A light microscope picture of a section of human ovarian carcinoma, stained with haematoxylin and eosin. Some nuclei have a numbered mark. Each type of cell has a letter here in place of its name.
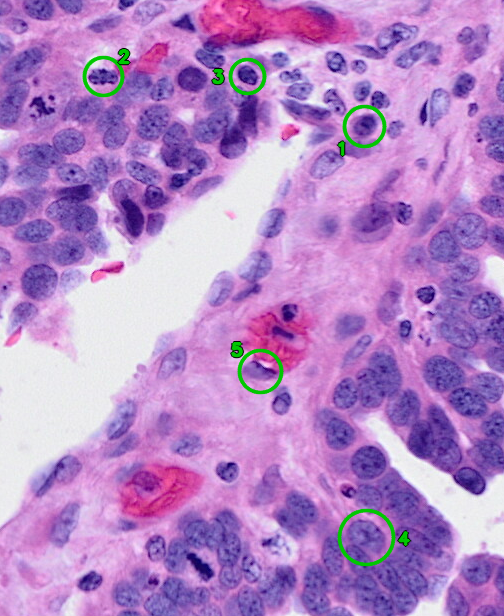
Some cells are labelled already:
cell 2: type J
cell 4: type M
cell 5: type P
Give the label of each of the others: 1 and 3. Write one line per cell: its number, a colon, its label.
1: type J
3: type J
